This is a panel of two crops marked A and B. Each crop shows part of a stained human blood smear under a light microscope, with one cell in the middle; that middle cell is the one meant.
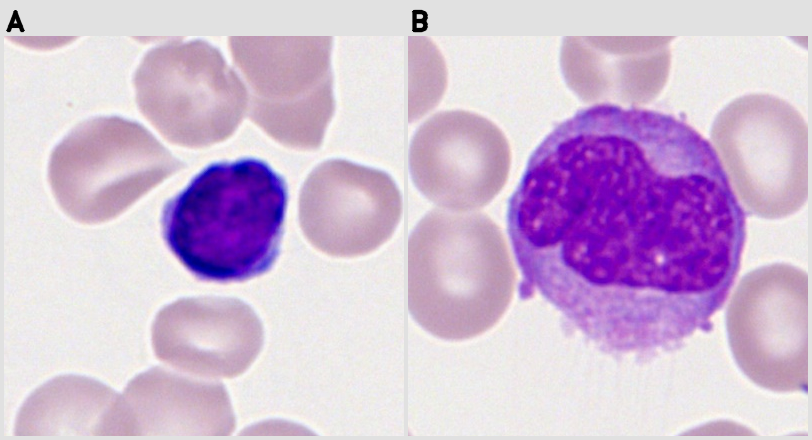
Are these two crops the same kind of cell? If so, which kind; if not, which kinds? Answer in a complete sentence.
No, crop A shows a lymphocyte, and crop B, by contrast, shows a monocyte.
